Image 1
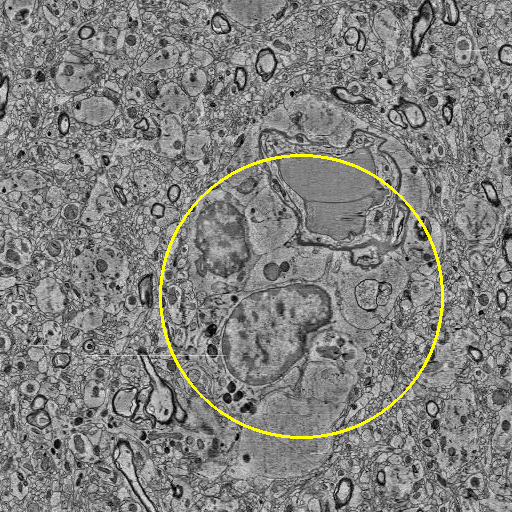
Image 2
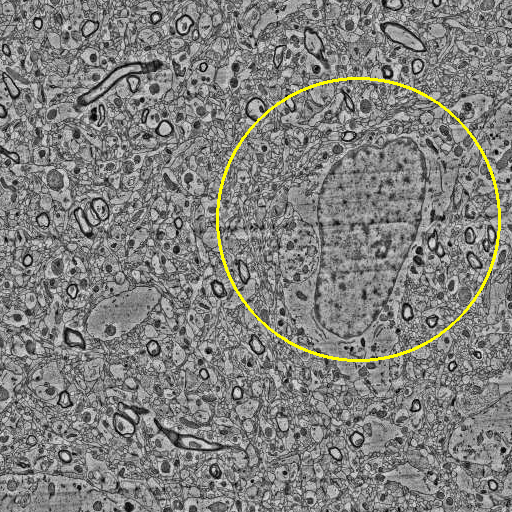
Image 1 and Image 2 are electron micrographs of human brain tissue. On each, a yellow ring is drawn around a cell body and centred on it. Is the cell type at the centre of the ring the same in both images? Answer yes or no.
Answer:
yes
